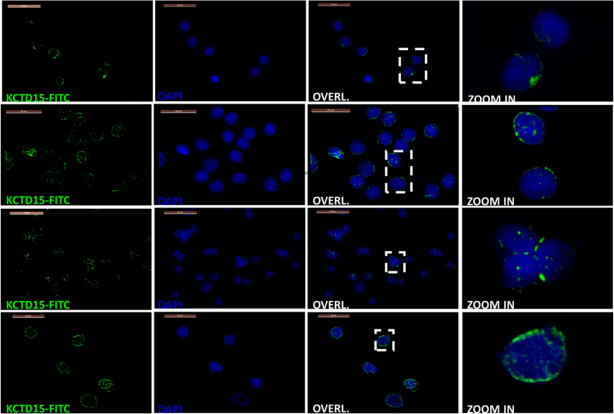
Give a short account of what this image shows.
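The green fluorescence is not spread evenly but appears as small dots and short arcs, mostly along the outer edge of the cells. In the enlarged views the green spots ring the blue nucleus at the periphery of the cell.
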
